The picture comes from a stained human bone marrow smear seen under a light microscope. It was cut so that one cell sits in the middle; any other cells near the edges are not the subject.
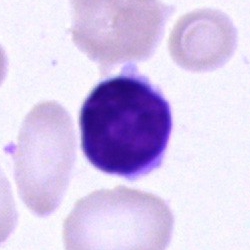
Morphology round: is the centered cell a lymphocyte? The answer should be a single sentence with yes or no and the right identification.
Yes, the cell occupying the middle of the crop is a lymphocyte.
